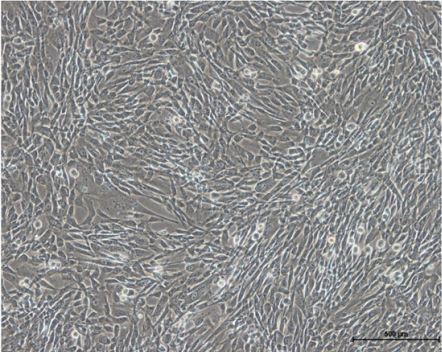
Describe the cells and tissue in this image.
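This is a dense monolayer of adherent fibroblast-like cells in culture, seen in phase contrast. The cells are elongated and spindle-shaped with tapering ends, and they pack closely side by side. They run in parallel streams that curve into swirling patterns across the field. A few small round cells with a bright halo are scattered over the layer.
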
